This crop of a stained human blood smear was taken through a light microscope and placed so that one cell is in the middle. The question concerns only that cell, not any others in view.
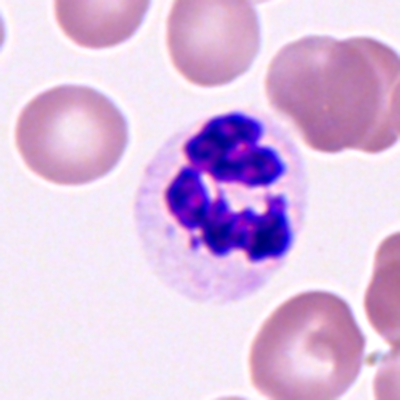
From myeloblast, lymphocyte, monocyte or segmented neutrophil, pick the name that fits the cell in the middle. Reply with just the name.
segmented neutrophil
